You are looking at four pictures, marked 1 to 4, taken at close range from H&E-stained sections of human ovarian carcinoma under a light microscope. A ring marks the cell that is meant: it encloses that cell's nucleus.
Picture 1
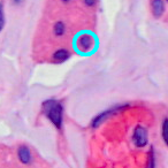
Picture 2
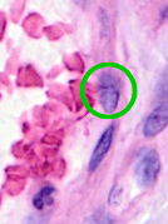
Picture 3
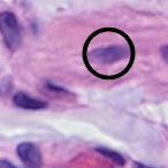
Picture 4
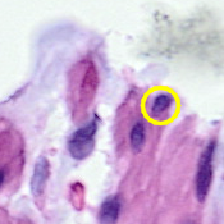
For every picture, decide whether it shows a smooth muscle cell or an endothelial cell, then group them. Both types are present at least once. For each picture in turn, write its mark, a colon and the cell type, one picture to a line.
1: smooth muscle cell
2: endothelial cell
3: smooth muscle cell
4: smooth muscle cell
